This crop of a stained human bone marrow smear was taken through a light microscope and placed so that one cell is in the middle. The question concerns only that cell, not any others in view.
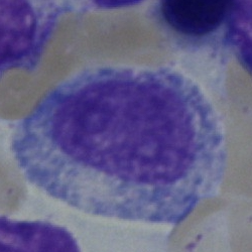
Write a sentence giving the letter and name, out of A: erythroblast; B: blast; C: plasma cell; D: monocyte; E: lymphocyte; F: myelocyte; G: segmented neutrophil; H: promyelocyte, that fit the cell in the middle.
The cell in the middle is a promyelocyte, and so option H is correct.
